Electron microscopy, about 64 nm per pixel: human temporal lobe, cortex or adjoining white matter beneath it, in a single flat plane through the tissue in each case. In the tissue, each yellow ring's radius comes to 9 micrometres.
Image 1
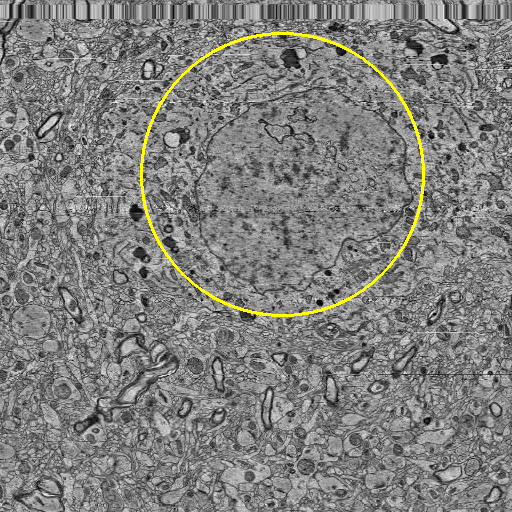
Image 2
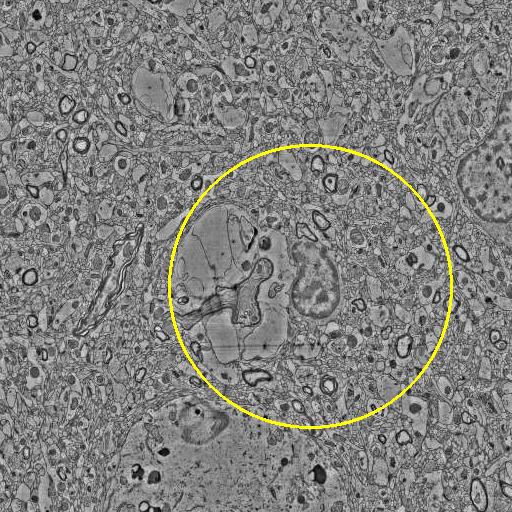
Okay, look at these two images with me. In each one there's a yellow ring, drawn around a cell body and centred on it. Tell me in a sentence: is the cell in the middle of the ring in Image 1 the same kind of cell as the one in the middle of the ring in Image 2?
No, they're two kinds of cell.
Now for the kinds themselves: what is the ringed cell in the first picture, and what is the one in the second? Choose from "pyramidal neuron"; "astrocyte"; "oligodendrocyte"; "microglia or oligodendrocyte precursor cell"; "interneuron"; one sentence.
Here the first cell is a pyramidal neuron and the second cell is an oligodendrocyte.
